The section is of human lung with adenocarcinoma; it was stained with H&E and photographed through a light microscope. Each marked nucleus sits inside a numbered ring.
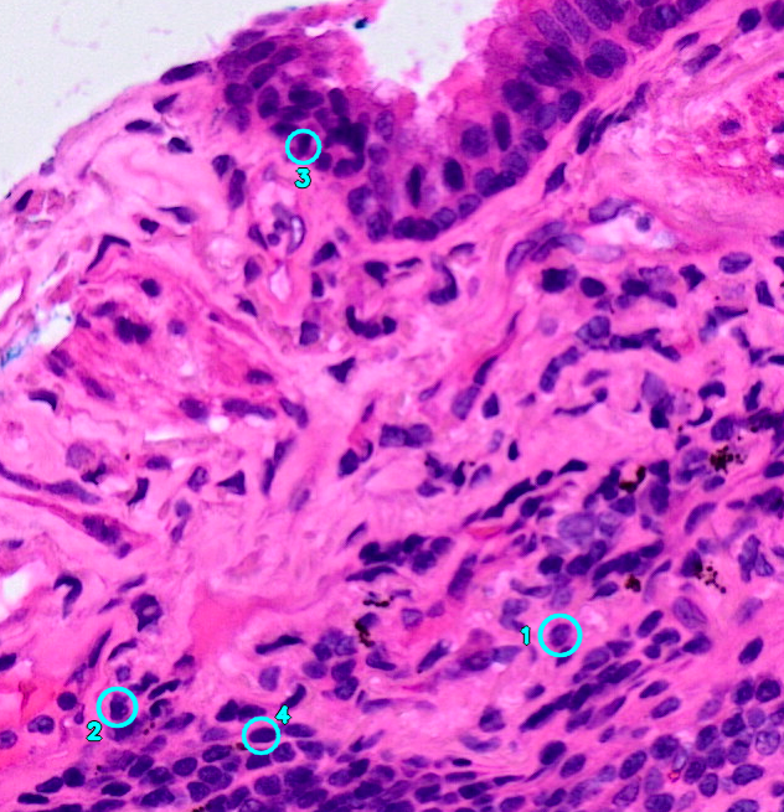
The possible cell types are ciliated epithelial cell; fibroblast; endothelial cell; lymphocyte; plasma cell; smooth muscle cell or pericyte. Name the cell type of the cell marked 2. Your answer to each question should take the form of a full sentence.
The cell tagged with 2 in this tissue section is a lymphocyte.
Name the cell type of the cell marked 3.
Denoted by the label 3 in the section is a ciliated epithelial cell.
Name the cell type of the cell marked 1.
Cell 1 should be recorded as a lymphocyte.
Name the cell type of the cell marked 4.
The nucleus marked 4 is the nucleus of a lymphocyte.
